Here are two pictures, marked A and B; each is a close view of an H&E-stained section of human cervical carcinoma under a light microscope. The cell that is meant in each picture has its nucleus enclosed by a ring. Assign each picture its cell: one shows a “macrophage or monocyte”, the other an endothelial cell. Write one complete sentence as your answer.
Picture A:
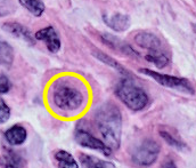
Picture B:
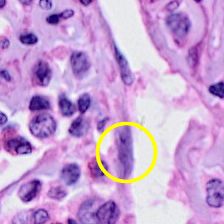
The cell in picture A is a “macrophage or monocyte”, and the one in picture B is an endothelial cell.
